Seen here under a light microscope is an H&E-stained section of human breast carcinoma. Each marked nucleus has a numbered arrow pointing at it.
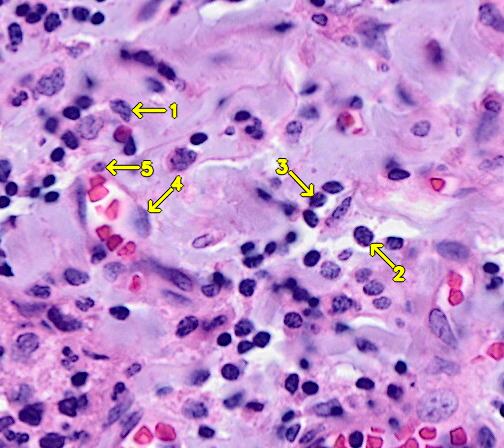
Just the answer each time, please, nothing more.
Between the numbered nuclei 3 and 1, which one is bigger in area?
1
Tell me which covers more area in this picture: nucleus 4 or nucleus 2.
4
